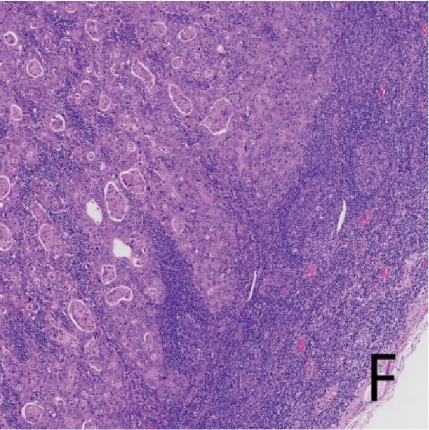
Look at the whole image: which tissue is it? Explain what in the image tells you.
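Sheets of densely packed small dark lymphocytes occupy much of the field. A thin capsule runs along the lower right edge. Pale epithelial areas with round gland-like spaces lie among the lymphoid tissue. So: Lymph node metastasis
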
